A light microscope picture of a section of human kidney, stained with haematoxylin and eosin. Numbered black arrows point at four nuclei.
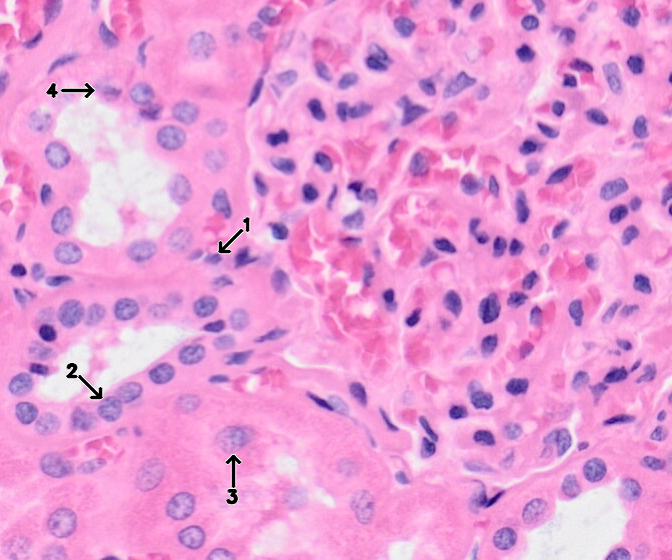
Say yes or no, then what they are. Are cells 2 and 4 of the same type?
No, cell 2 is a collecting duct cell, while cell 4 is a loop of Henle or distal tubule cell.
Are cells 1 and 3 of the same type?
No, while cell 1 is an endothelial cell, cell 3 is a proximal tubule cell.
